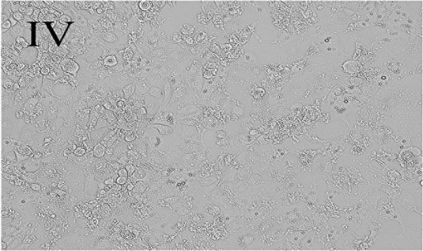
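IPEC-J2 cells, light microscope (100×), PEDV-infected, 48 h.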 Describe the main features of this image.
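This is an unstained culture of epithelial cells seen in plain transmitted light, and the layer here is no longer an even sheet. Many cells have rounded up into bright, refractile balls with sharp dark rims. These rounded cells gather in loose clusters. Between the clusters are paler stretches where the flat layer is thin or broken.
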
